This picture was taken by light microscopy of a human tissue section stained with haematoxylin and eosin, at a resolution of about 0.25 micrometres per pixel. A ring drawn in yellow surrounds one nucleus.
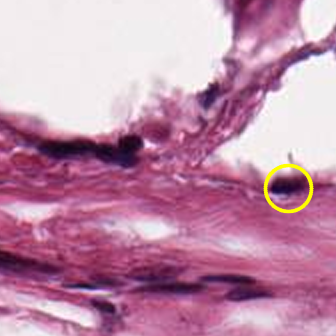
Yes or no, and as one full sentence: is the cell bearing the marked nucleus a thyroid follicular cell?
No, the marked nucleus is not the nucleus of a thyroid follicular cell but of a supporting cell.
